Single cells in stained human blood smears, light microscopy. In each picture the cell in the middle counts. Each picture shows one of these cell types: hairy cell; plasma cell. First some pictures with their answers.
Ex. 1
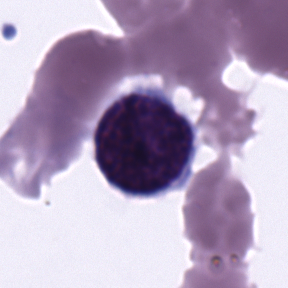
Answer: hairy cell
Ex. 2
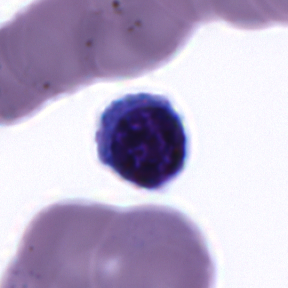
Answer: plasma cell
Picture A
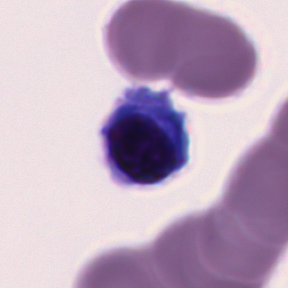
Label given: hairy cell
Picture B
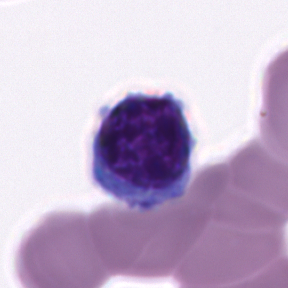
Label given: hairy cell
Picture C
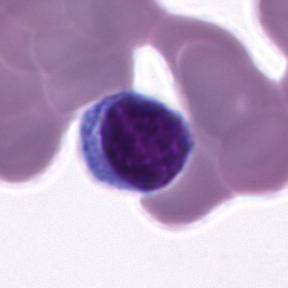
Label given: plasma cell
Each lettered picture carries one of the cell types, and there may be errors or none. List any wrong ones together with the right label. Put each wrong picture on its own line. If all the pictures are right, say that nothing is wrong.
A: plasma cell, not hairy cell
B: plasma cell, not hairy cell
